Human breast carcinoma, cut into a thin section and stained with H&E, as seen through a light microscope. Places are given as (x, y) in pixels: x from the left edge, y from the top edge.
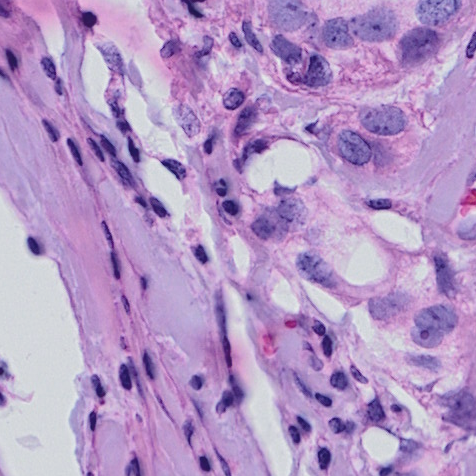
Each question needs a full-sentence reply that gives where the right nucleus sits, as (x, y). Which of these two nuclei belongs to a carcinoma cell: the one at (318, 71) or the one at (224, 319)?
Of the two nuclei, the nucleus belonging to a carcinoma cell is located at (318, 71).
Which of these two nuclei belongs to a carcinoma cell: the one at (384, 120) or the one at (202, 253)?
So, of the two, the nucleus at (384, 120) is the one belonging to a carcinoma cell.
